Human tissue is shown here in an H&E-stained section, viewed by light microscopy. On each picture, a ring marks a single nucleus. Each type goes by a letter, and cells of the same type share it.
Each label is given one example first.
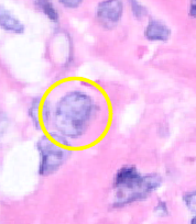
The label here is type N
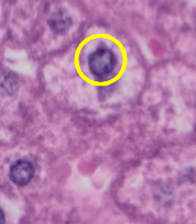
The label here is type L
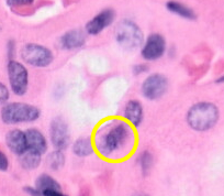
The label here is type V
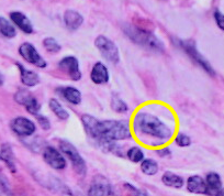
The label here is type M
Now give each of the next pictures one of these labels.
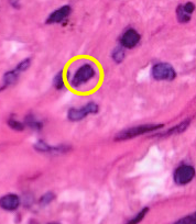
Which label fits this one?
type M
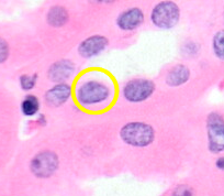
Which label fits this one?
type V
